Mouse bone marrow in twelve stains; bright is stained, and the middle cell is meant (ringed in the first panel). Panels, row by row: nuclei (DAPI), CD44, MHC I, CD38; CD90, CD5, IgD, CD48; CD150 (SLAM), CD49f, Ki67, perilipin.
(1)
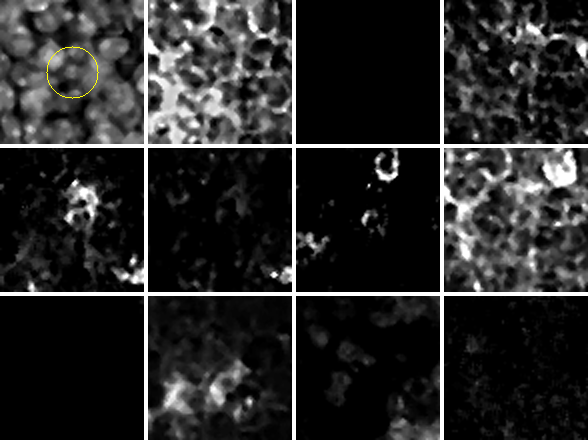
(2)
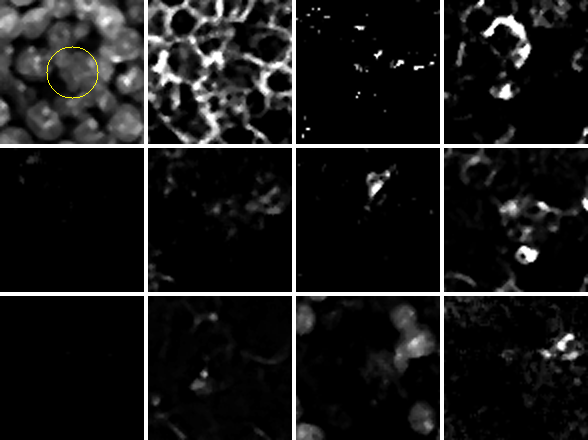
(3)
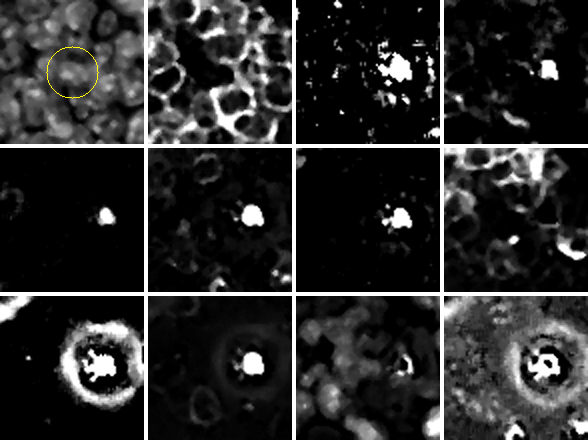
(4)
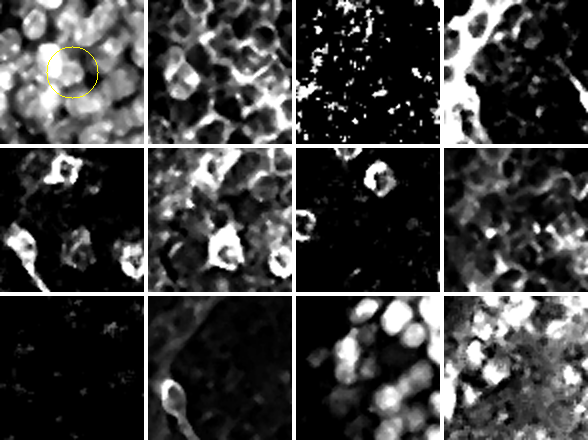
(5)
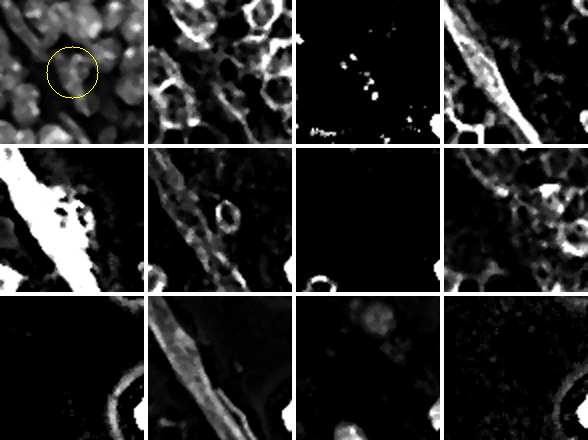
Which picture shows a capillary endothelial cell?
Picture 2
